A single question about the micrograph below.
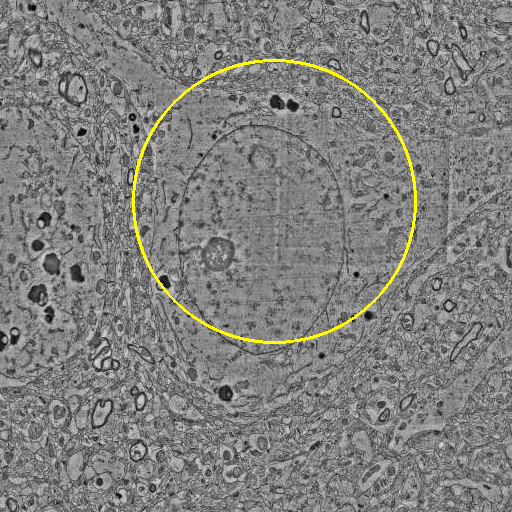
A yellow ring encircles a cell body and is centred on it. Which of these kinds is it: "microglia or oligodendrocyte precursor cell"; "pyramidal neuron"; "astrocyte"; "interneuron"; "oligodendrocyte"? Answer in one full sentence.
The cell body at the centre of the yellow ring belongs to a pyramidal neuron.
